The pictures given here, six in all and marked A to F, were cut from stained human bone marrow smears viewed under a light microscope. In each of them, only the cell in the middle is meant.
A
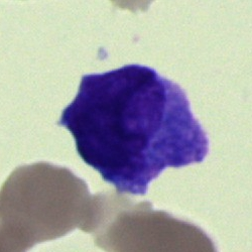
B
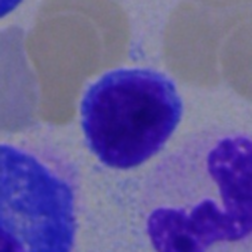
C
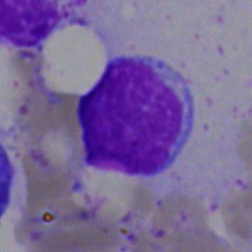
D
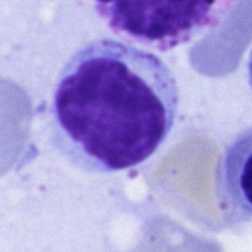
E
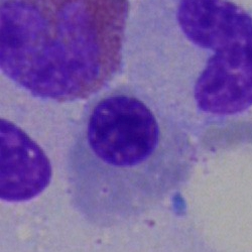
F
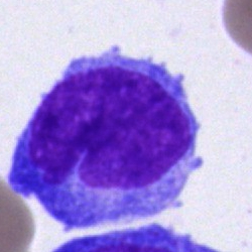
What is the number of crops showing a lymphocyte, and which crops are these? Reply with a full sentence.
Crops showing lymphocytes total three, and they are B, C and D.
